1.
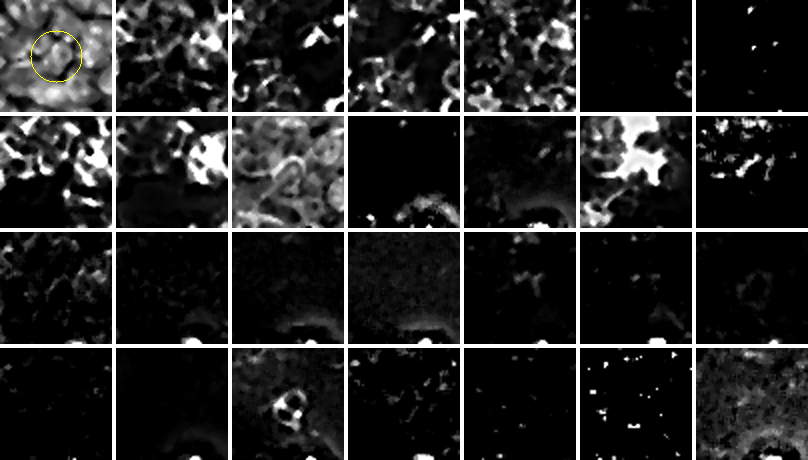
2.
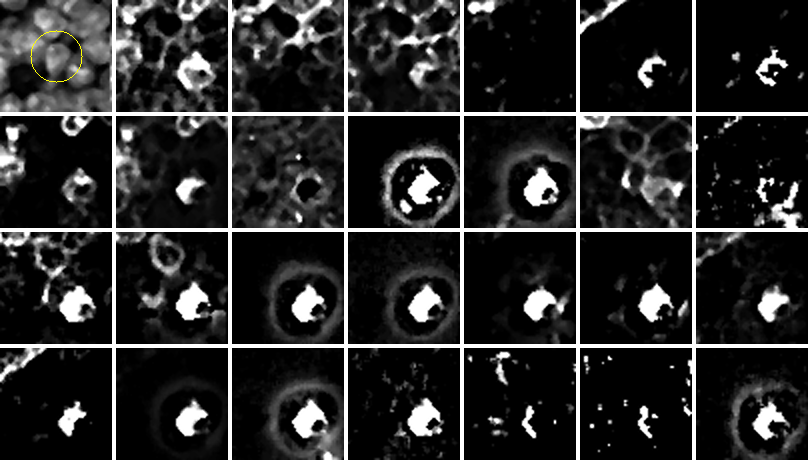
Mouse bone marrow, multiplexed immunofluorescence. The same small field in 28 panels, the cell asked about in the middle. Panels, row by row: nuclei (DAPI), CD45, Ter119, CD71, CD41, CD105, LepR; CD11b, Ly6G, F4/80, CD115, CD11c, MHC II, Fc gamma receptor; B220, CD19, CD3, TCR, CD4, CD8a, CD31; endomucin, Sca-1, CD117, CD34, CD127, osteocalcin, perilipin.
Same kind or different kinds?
Same: erythroid progenitors (CFU-E).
